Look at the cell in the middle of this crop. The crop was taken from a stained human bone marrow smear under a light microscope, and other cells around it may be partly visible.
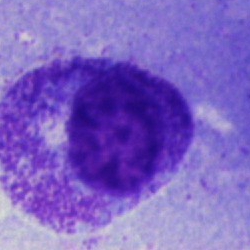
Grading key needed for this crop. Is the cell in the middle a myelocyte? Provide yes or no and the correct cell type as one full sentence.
Yes, the cell in the middle of this smear crop is a myelocyte.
